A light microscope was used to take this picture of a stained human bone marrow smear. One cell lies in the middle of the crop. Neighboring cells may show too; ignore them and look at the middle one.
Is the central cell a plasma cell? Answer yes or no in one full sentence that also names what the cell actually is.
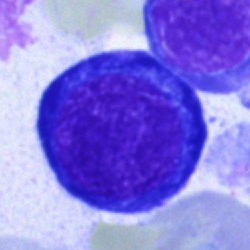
No, in this crop the central cell is a proerythroblast instead of a plasma cell.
